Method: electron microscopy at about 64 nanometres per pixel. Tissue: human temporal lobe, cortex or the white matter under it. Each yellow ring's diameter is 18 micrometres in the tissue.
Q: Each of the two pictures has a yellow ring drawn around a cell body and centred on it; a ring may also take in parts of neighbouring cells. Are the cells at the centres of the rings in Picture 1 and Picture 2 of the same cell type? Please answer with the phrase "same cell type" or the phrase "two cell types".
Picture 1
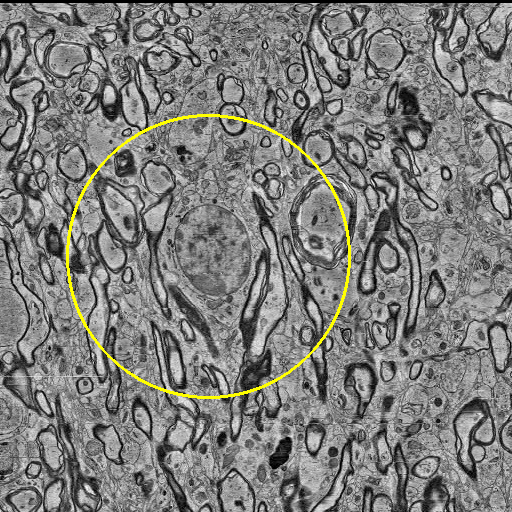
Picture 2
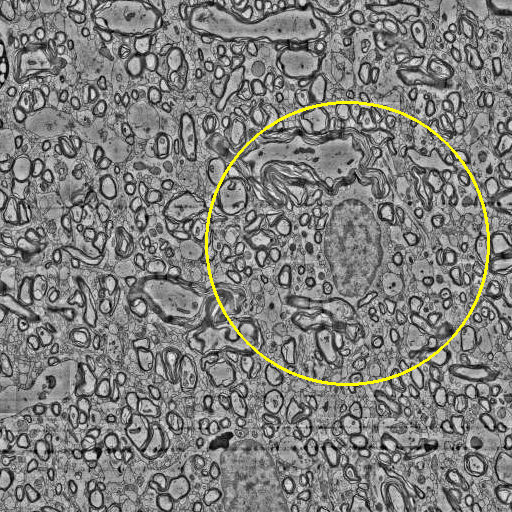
two cell types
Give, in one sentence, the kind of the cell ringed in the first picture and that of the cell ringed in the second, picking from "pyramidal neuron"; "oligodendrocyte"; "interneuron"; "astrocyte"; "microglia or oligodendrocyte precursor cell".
For the first picture it is a microglial cell or oligodendrocyte precursor cell; for the second, an oligodendrocyte.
